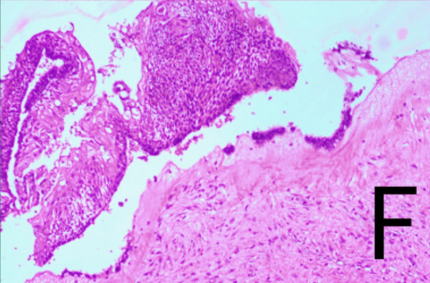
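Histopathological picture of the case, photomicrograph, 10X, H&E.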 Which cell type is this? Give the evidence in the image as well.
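Above the basal layer of the epithelium, cells are loosely arranged with clear spaces between them. These loosely arranged cells lie in a looser, net-like pattern than the compact basal cells. The answer: stellate reticulum-like.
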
